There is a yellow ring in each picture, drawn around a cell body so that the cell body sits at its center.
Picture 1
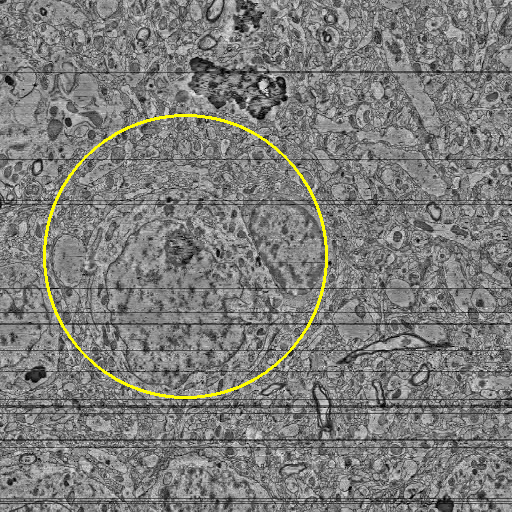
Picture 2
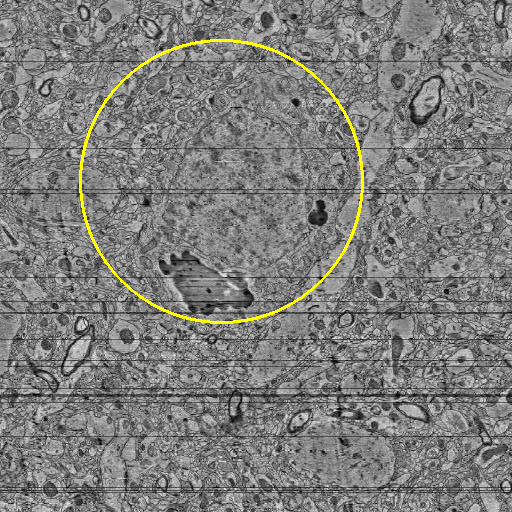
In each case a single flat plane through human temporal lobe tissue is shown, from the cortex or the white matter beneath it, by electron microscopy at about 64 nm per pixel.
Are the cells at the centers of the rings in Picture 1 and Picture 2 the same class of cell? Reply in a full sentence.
Yes, the two cells are the same class of cell.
